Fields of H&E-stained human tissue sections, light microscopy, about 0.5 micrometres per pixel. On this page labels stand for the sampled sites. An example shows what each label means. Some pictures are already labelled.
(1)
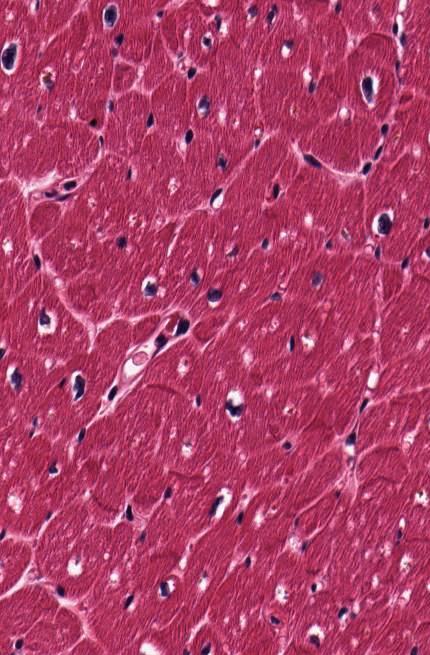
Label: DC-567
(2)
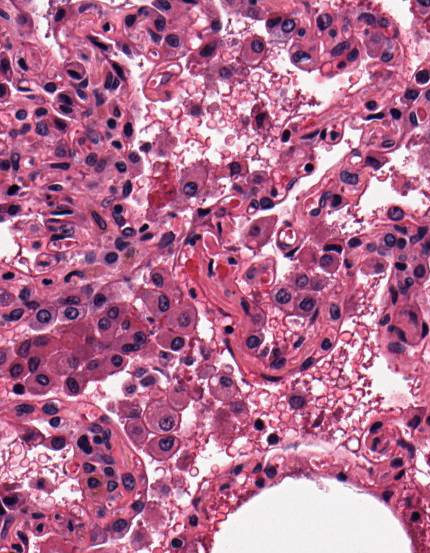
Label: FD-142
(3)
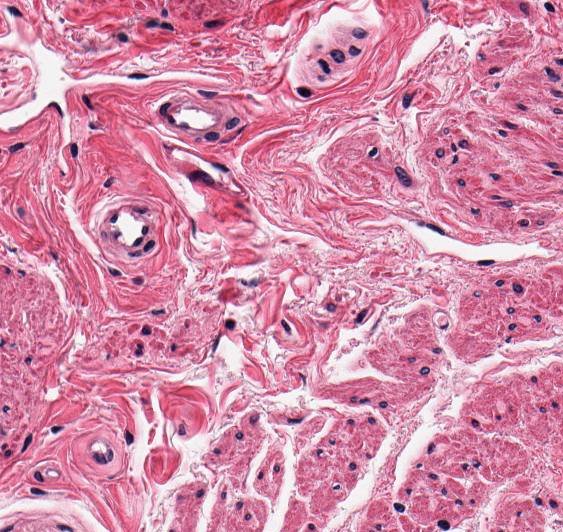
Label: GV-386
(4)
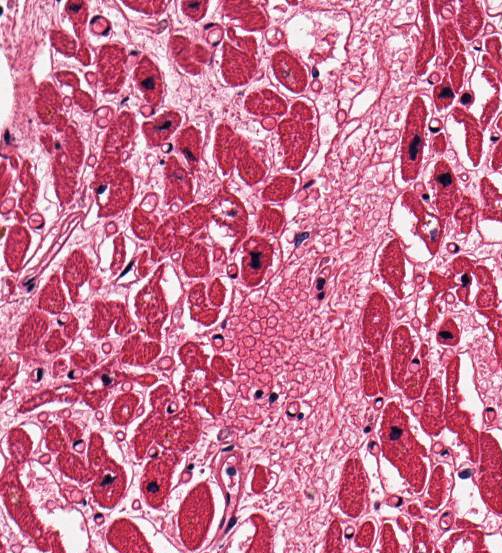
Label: DC-567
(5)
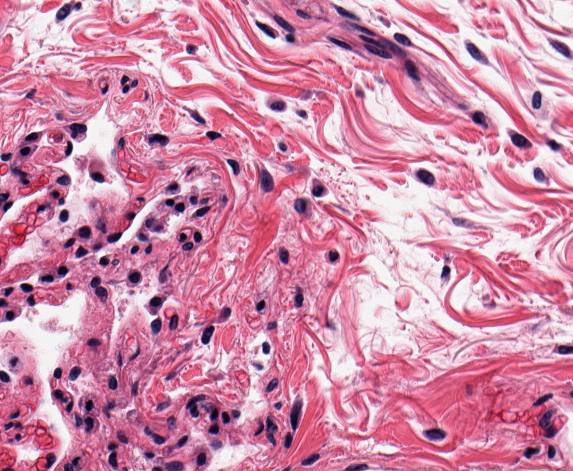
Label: FD-142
